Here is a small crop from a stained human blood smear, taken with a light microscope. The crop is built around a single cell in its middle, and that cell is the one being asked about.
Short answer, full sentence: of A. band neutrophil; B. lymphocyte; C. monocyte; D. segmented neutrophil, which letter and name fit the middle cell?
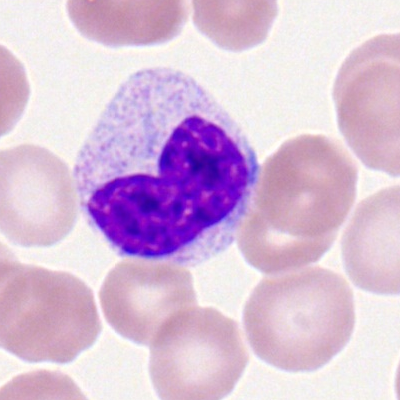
Answer key: option A, the middle cell being a band neutrophil.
